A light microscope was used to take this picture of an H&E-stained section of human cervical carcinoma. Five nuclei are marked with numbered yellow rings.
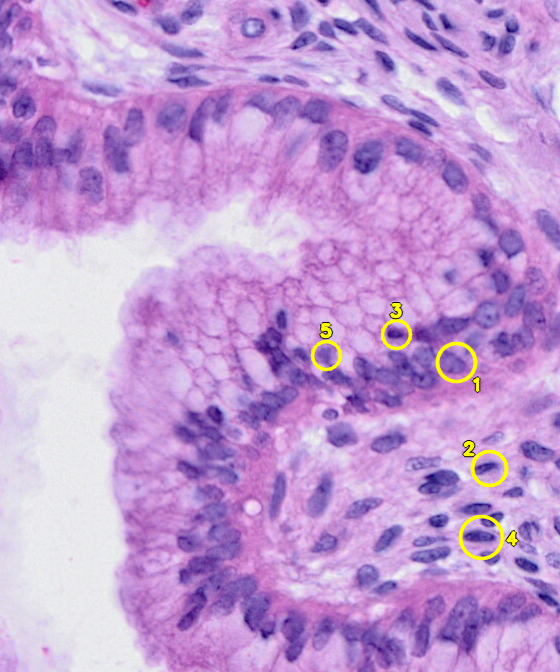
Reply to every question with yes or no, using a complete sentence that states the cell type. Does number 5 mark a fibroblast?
No, the marked cell 5 is not a fibroblast, being instead a secretory epithelial cell.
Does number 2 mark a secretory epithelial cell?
No, the cell under number 2 is a fibroblast instead of a secretory epithelial cell.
